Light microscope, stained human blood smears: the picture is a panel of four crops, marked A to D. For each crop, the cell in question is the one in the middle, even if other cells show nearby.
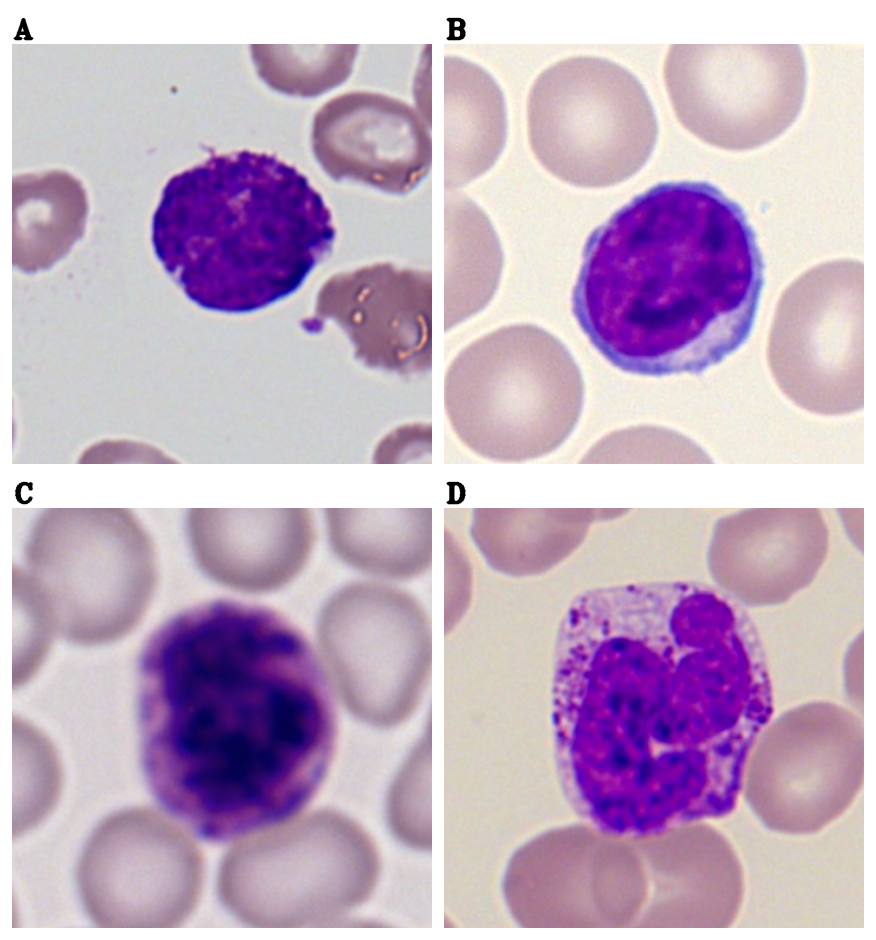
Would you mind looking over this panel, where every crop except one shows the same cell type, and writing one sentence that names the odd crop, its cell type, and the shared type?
Among these crops, basophils occur in all but crop B, which contains a lymphocyte.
